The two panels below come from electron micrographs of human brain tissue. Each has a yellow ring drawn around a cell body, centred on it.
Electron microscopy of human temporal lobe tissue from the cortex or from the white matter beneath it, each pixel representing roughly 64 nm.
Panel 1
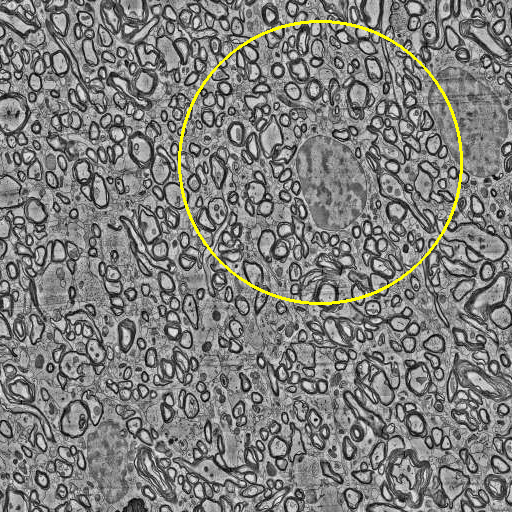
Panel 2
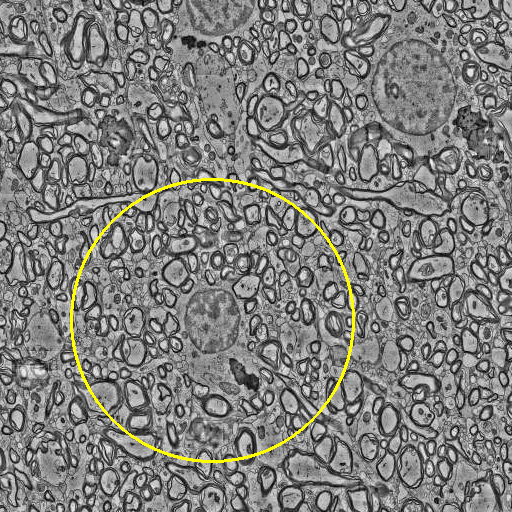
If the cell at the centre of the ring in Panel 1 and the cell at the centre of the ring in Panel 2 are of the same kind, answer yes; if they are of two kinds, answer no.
no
